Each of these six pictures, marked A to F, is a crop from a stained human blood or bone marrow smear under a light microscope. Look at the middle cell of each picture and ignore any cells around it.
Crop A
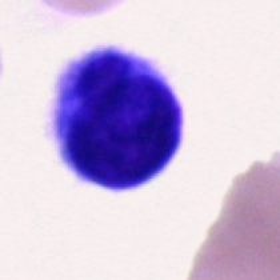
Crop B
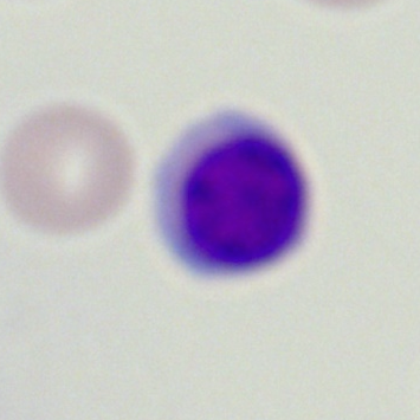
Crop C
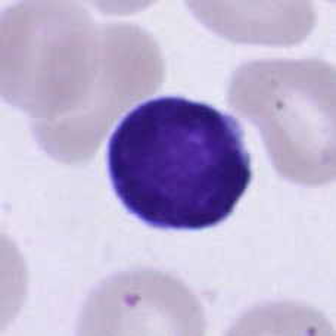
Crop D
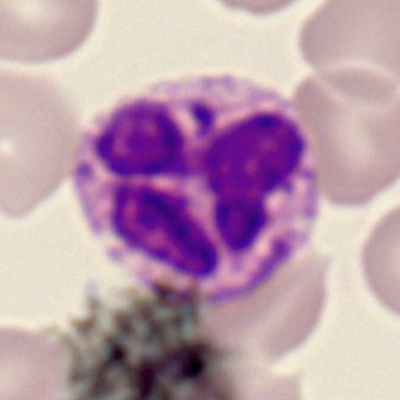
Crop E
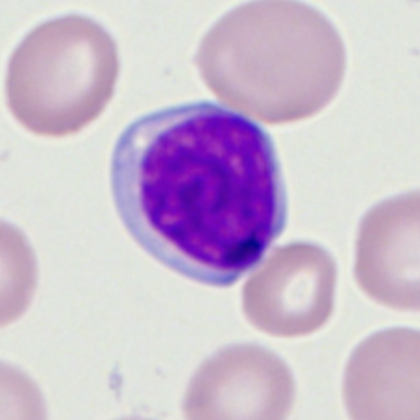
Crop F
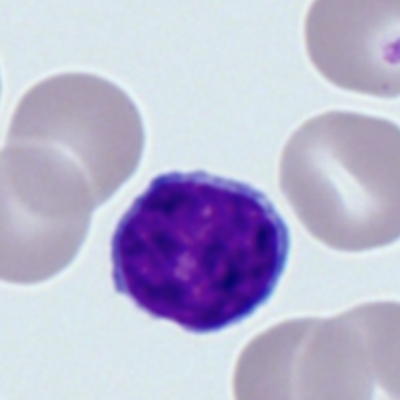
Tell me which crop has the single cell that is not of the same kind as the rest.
D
